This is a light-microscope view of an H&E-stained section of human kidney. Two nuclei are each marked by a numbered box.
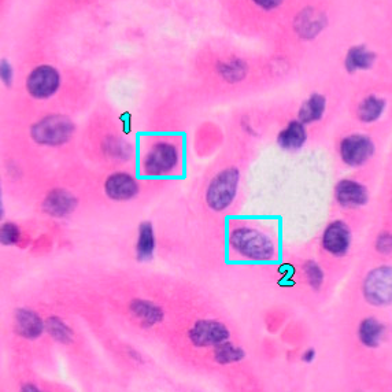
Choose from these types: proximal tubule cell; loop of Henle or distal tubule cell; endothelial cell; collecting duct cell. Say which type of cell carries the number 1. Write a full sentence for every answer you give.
In the tissue shown, cell 1 is a proximal tubule cell.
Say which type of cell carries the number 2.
The cell carrying label 2 is identified as a loop of Henle or distal tubule cell.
